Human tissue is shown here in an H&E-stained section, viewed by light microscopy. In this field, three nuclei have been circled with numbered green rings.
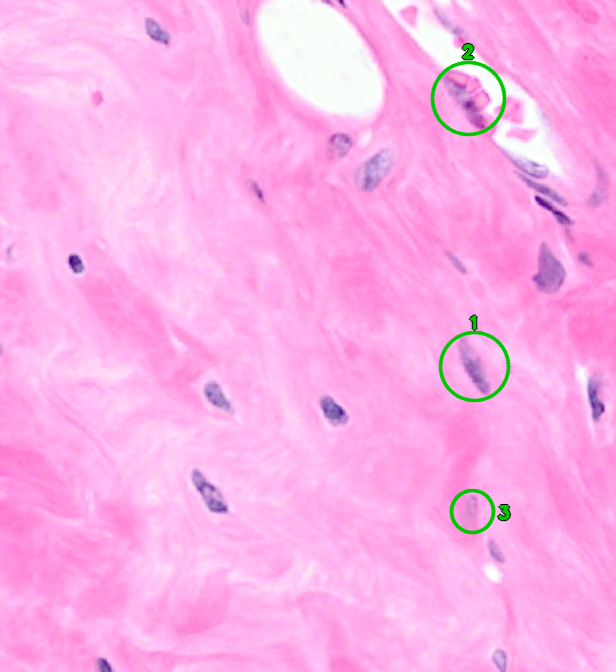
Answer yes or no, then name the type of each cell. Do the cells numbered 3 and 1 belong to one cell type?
Yes, cells 3 and 1 are both termed fibroblasts.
